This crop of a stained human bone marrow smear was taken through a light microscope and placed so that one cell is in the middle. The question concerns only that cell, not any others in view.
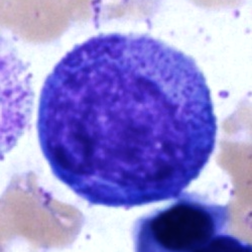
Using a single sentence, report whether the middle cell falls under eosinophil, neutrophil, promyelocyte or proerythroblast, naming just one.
Located at the centre of the crop is a promyelocyte.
